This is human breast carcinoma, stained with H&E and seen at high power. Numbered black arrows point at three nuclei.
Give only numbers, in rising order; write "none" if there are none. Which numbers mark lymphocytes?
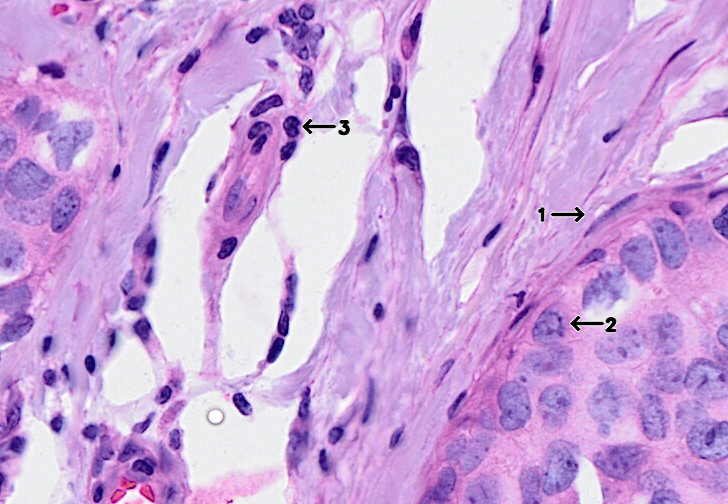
3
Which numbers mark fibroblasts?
1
